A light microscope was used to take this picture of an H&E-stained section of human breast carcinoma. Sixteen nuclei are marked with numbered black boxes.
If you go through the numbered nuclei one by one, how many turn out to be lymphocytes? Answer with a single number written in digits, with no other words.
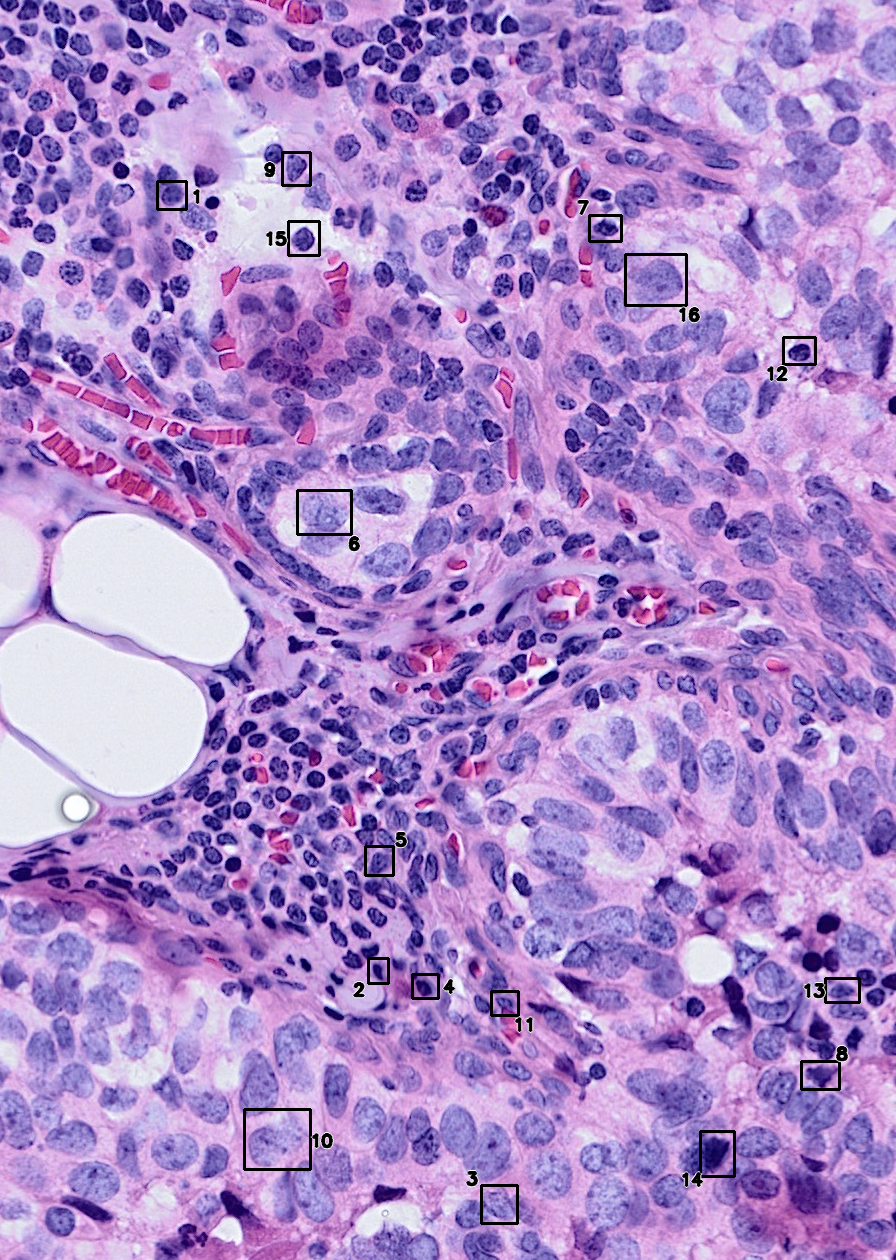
9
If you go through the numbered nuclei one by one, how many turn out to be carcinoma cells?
6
